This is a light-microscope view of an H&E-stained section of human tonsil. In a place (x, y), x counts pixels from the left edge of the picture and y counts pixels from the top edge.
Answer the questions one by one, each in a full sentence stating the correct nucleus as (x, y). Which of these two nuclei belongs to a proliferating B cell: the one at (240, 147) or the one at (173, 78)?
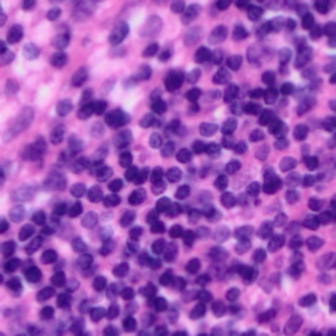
The one nucleus of the two that belongs to a proliferating B cell is at (173, 78).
